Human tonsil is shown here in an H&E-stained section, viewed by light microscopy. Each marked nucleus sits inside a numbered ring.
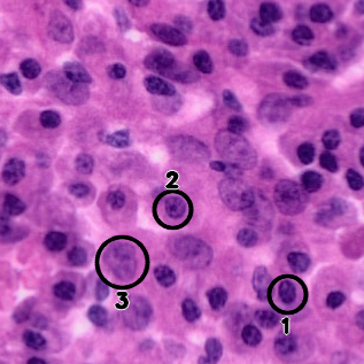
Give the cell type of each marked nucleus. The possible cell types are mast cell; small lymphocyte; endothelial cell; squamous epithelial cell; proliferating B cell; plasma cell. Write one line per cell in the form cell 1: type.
cell 1: plasma cell
cell 2: plasma cell
cell 3: squamous epithelial cell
